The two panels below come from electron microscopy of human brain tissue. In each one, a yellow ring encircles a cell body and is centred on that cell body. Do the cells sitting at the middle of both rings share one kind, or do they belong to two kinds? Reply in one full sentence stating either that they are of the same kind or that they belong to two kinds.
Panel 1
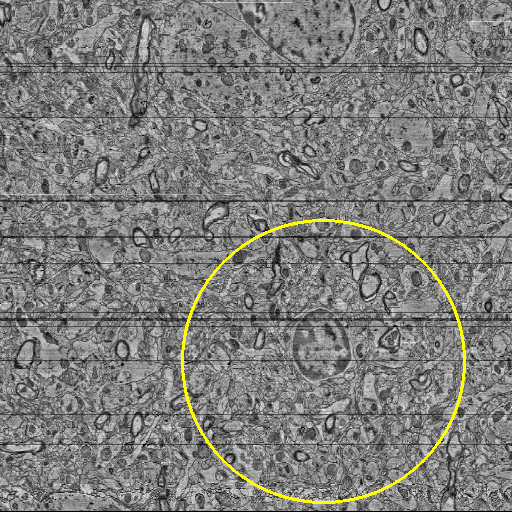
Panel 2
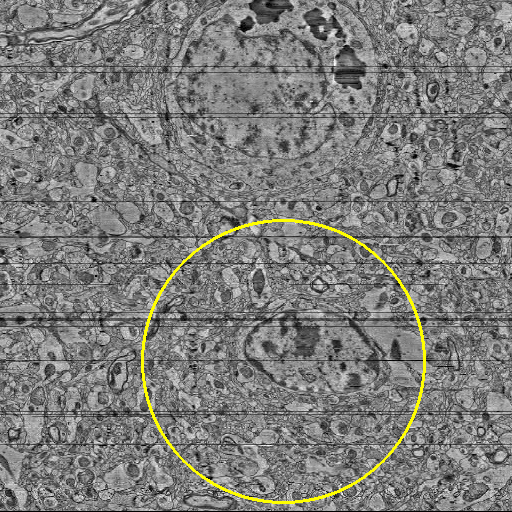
The cells at the centres of the two rings are of the same kind.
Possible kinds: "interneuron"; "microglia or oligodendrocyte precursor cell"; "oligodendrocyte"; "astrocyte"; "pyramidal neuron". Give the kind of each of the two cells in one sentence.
Both pictures show a microglial cell or oligodendrocyte precursor cell at the centre of the ring.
